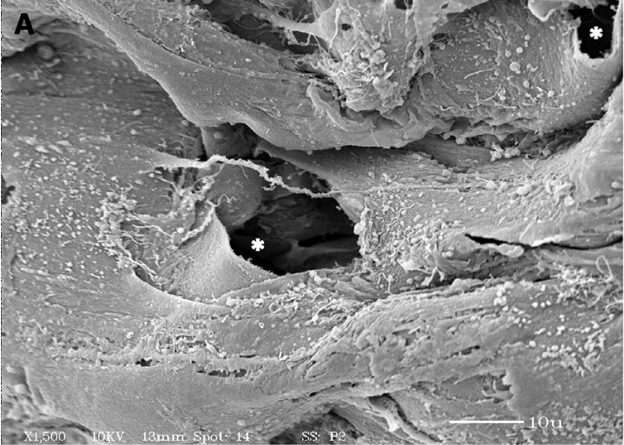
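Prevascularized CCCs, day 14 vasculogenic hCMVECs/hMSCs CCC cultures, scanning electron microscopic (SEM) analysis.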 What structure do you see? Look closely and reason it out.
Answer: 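Flattened cell layers curve around open spaces.
Hence: transverse capillary-like structure.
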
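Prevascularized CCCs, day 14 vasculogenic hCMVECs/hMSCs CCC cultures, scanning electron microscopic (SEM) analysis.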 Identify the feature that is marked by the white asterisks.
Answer: Central lumen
